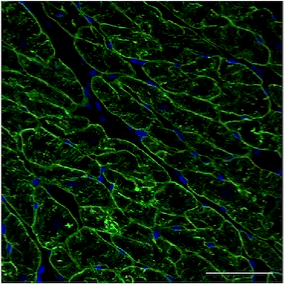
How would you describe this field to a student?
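Heart muscle with cardiomyocytes cut mostly across or obliquely, each cell's border traced by a thin, continuous green line. The outlined cells are polygonal to oval and tightly packed, forming a dense network of green rings. Small blue nuclei lie at or between the cell borders, many of them elongated. Faint green dots also appear within some of the outlined cells.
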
